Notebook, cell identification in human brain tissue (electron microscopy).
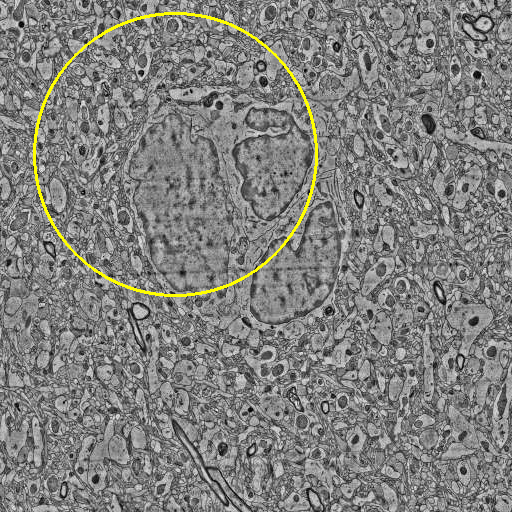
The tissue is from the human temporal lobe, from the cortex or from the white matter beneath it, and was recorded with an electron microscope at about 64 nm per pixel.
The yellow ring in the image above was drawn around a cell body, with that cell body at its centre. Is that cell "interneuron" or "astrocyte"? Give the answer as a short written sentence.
The cell in the ring is an interneuron.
